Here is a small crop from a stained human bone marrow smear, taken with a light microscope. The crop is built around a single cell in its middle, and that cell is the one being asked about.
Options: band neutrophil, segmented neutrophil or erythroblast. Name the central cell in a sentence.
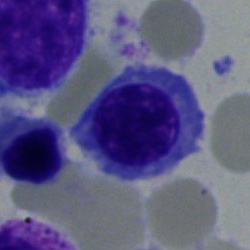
The crop shows an erythroblast in its centre.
